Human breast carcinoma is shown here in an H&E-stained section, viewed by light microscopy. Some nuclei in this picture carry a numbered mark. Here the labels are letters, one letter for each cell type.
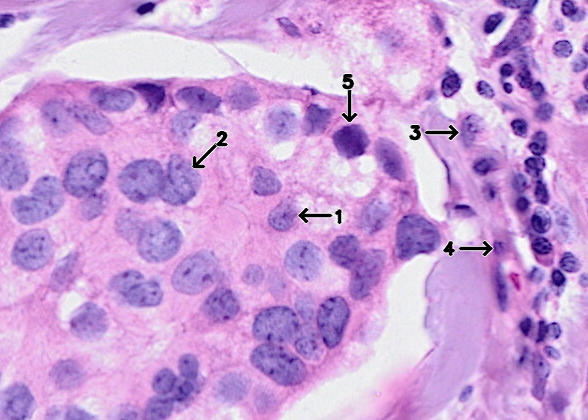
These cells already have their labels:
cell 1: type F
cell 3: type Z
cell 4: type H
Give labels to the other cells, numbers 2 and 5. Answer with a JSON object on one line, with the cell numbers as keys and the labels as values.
{"2": "type F", "5": "type F"}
